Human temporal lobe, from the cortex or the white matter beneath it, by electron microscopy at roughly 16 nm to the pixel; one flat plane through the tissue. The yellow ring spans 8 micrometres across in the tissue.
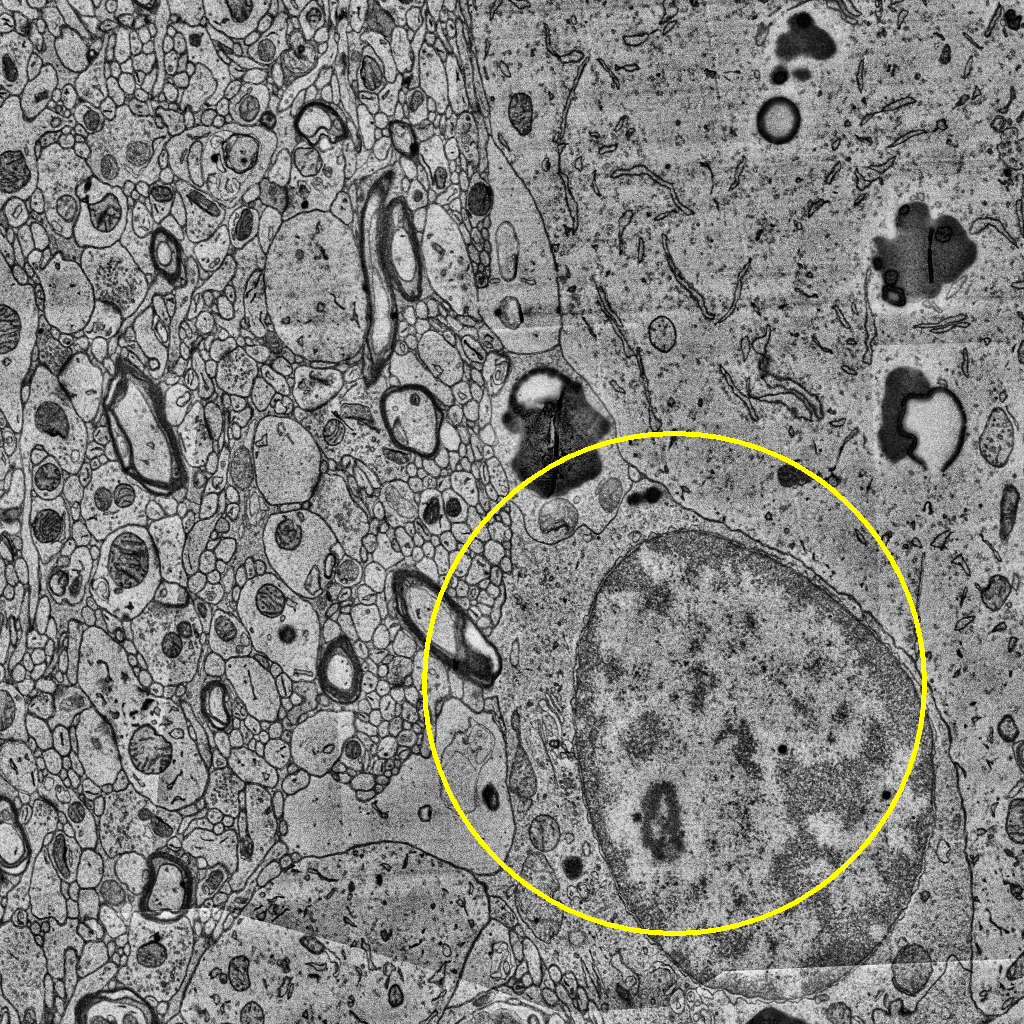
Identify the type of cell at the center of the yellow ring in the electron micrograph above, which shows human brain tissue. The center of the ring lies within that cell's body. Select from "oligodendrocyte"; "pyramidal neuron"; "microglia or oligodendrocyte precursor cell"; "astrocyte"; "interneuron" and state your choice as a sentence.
The center of the yellow ring lies in the body of an oligodendrocyte.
